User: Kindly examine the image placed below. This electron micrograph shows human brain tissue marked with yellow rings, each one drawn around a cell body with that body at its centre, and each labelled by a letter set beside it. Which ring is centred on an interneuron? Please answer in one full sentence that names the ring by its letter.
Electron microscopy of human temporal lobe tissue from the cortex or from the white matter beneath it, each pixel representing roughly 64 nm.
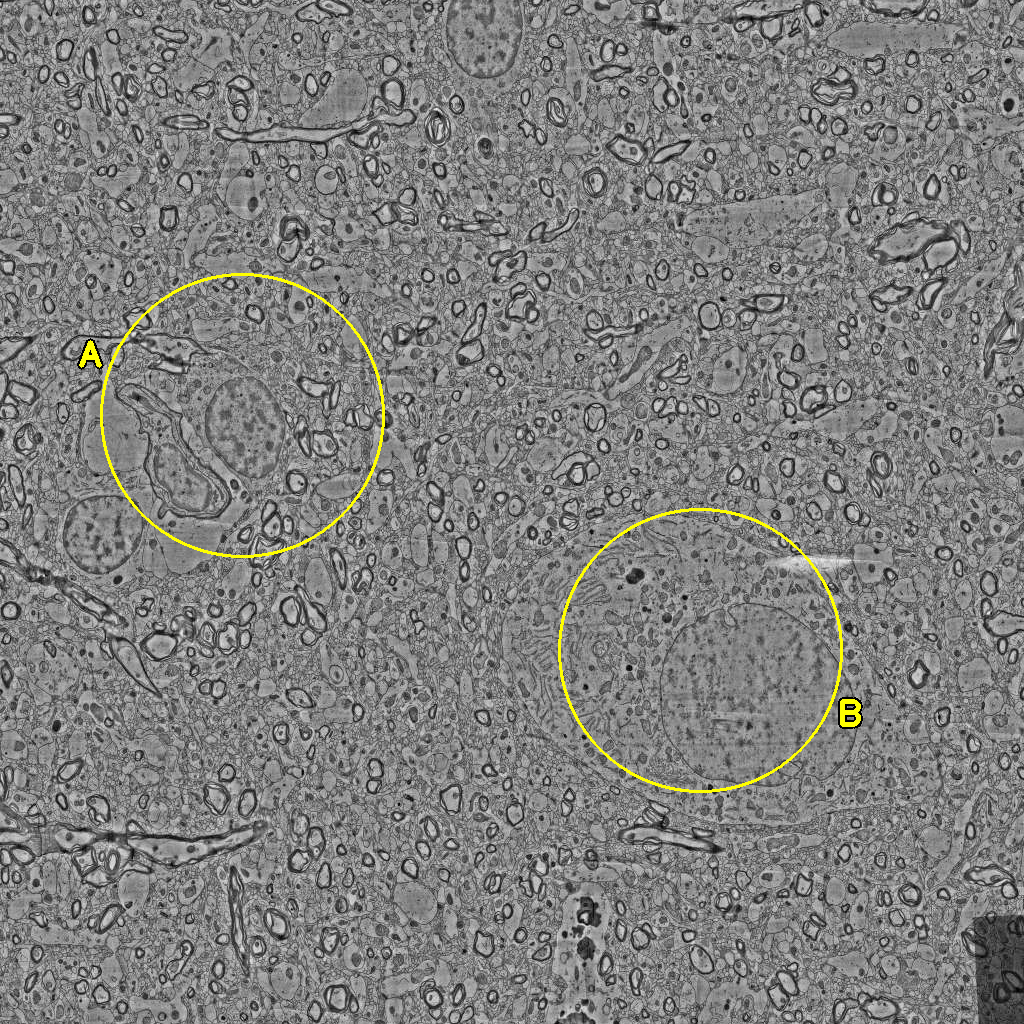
Ring B is the one drawn around the cell asked for.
